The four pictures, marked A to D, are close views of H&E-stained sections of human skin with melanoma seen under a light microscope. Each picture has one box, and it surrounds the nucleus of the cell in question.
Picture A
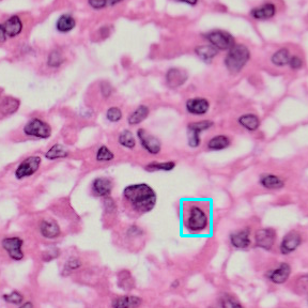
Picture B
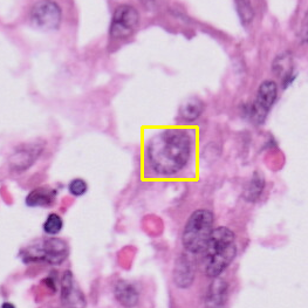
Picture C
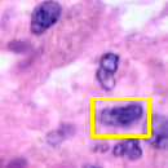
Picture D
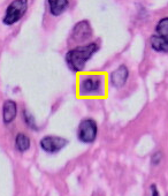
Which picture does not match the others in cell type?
B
